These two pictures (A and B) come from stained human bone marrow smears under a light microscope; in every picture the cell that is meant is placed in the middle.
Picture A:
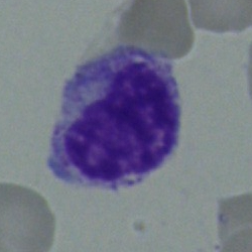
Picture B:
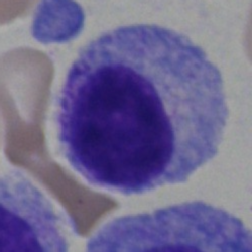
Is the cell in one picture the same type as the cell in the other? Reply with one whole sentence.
Yes; the cells in both pictures are myelocytes.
